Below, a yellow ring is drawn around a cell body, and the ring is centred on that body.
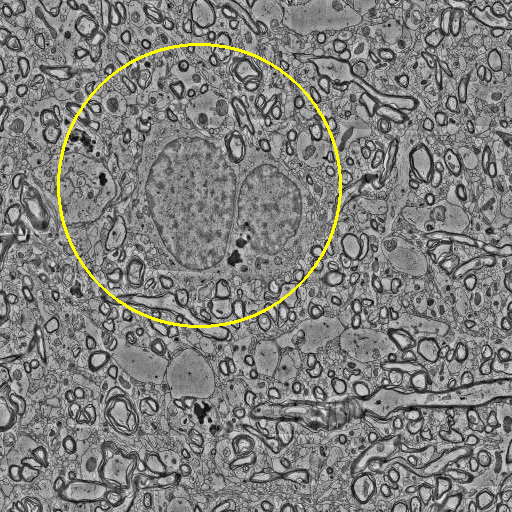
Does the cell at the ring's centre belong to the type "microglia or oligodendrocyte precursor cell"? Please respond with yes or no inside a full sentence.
No, the centred cell inside the ring shown in the picture is of a different type.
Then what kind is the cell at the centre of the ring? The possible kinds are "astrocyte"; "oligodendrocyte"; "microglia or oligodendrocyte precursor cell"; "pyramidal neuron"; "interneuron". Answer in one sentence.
It is an oligodendrocyte at the centre of the ring.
